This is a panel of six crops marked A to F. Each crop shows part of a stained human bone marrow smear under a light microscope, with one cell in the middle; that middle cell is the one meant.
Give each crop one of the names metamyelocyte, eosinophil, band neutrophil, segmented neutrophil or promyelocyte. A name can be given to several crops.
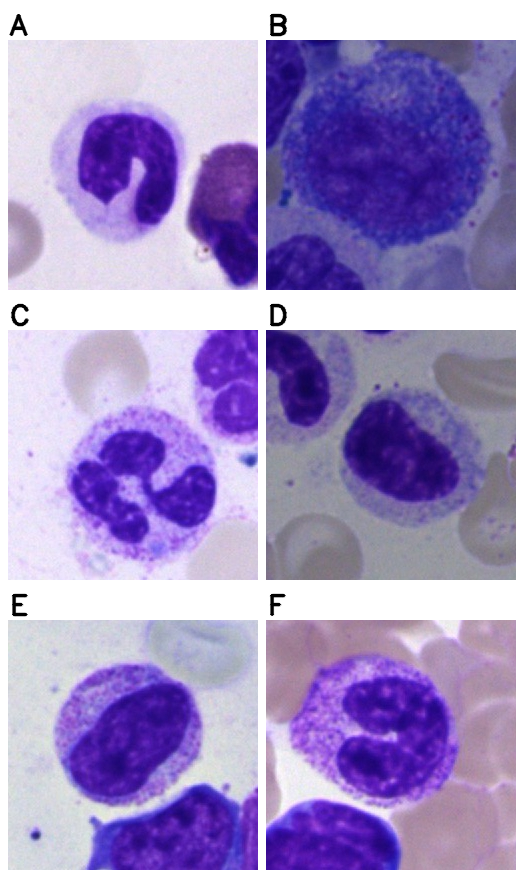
A: band neutrophil
B: promyelocyte
C: segmented neutrophil
D: metamyelocyte
E: metamyelocyte
F: band neutrophil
